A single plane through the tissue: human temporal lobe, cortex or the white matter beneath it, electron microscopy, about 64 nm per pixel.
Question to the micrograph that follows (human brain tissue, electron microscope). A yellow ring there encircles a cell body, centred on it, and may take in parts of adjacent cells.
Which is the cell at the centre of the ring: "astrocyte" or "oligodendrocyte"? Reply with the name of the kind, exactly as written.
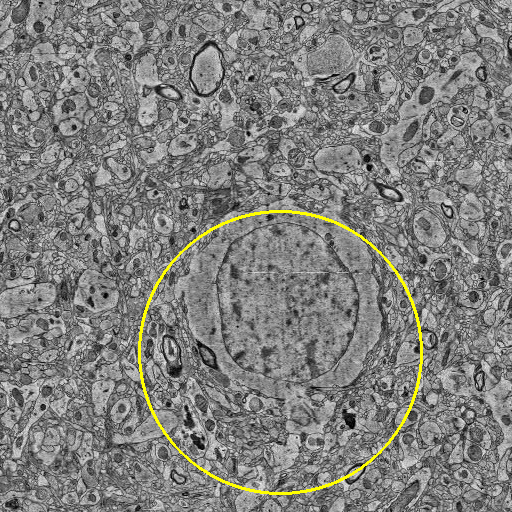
astrocyte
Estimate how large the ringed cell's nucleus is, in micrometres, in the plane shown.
About 11 by 9 micrometres in this plane.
